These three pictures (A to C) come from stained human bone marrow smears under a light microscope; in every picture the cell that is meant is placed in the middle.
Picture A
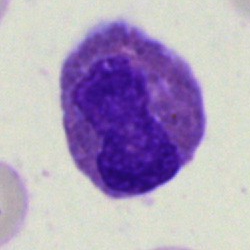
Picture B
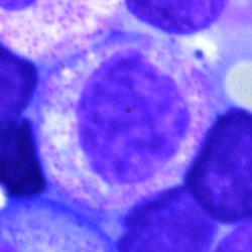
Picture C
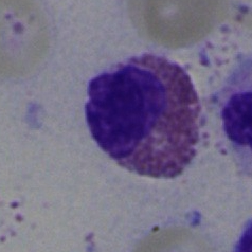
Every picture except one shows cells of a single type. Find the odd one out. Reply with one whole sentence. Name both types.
The others show eosinophils, but picture B shows a myelocyte.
